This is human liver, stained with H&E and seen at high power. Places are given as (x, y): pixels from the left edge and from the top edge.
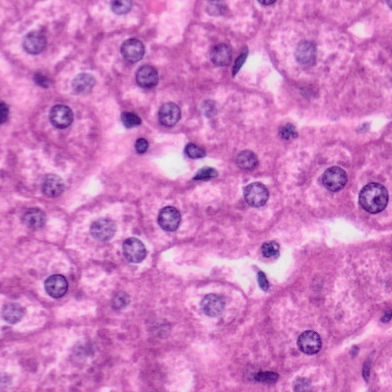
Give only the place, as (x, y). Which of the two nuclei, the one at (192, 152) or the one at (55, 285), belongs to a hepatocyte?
(55, 285)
